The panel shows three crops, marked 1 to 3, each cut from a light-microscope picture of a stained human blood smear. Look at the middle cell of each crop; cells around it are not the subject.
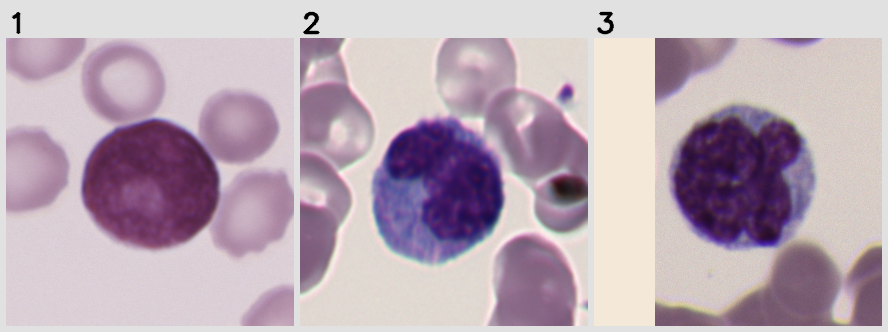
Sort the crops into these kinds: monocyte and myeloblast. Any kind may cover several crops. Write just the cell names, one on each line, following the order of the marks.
myeloblast
monocyte
monocyte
